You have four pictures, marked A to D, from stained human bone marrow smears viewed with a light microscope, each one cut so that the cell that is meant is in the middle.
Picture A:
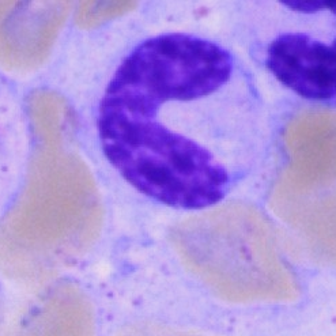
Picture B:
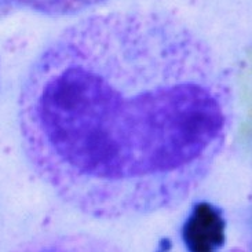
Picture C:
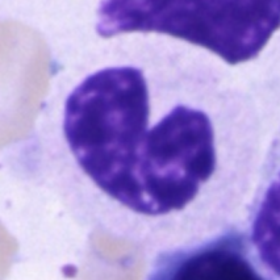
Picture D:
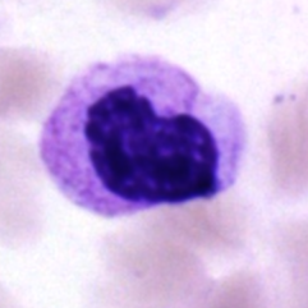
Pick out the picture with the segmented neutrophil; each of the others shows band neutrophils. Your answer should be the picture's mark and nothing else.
D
